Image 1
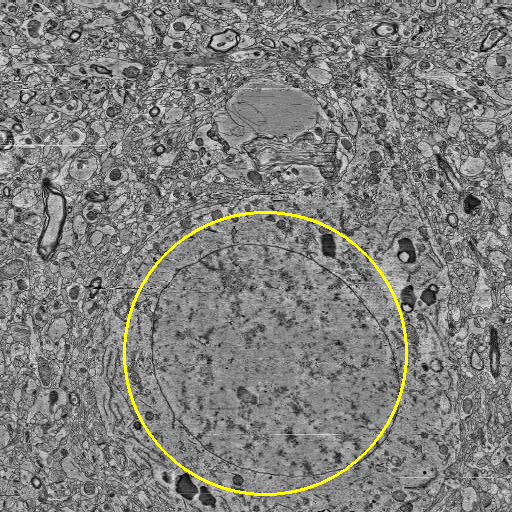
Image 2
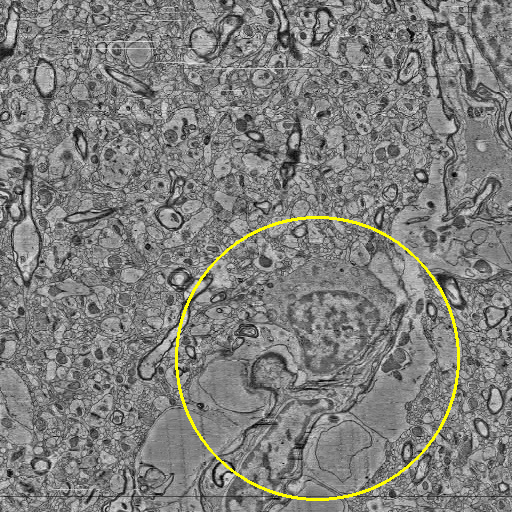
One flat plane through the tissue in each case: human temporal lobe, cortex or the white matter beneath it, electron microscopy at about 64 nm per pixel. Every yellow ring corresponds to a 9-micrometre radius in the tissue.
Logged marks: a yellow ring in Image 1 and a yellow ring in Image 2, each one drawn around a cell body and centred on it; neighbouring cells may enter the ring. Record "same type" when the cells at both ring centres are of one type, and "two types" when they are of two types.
two types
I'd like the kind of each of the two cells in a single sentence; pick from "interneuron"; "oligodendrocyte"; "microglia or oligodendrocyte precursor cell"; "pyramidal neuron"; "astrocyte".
The first ring marks a pyramidal neuron, and the second ring marks an oligodendrocyte.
